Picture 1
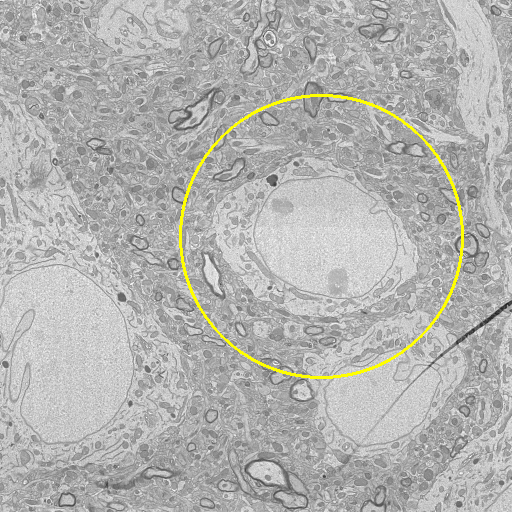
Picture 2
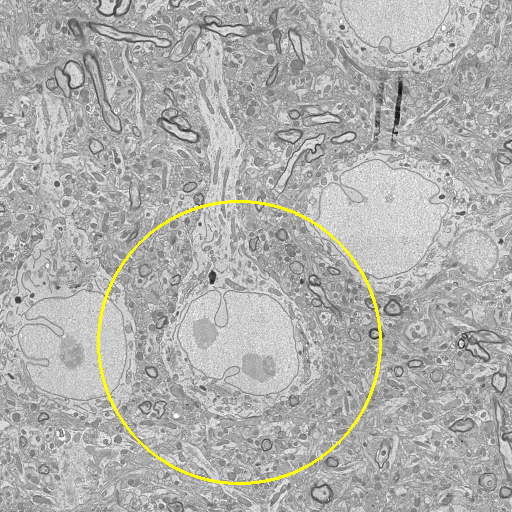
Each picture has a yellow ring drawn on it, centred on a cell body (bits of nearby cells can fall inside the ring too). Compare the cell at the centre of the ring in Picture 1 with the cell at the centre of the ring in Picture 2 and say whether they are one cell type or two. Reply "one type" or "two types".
one type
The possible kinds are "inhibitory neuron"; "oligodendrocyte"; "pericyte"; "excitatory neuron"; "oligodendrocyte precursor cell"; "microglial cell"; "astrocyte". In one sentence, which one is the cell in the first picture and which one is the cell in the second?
The cell at the ring centre is an excitatory neuron in both pictures.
